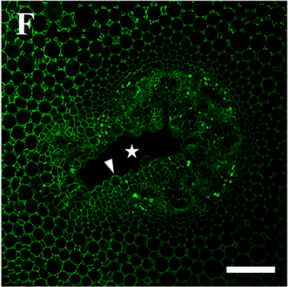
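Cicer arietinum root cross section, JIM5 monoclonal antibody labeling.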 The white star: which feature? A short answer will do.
Aerenchyma cavities.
